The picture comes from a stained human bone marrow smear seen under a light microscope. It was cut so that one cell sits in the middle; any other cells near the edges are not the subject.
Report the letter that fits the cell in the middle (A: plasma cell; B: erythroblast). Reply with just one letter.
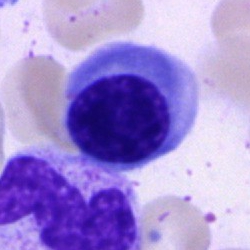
B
